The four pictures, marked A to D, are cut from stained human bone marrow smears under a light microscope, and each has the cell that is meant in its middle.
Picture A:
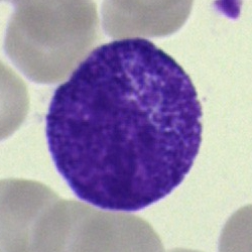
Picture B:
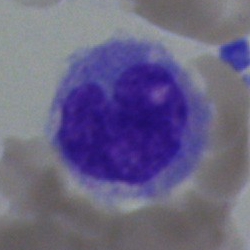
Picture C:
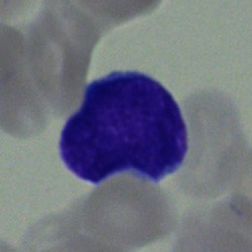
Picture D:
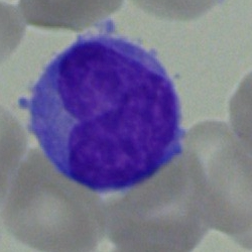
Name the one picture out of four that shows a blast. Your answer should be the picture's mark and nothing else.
C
